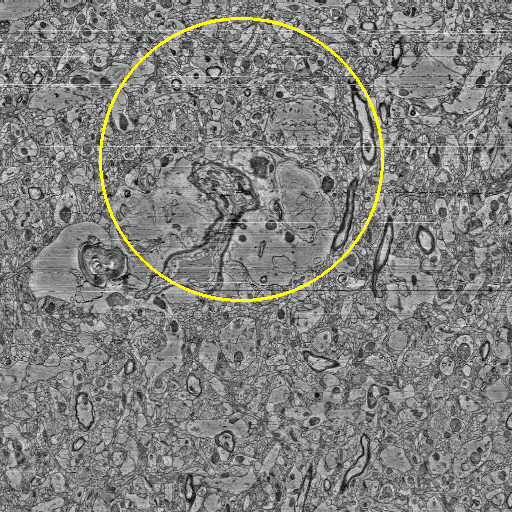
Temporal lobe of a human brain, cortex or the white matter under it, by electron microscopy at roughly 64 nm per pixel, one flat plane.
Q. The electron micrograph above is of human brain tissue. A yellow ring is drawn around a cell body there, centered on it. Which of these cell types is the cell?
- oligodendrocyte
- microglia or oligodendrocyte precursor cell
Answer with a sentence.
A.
The cell under the ring's center is a microglial cell or oligodendrocyte precursor cell.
